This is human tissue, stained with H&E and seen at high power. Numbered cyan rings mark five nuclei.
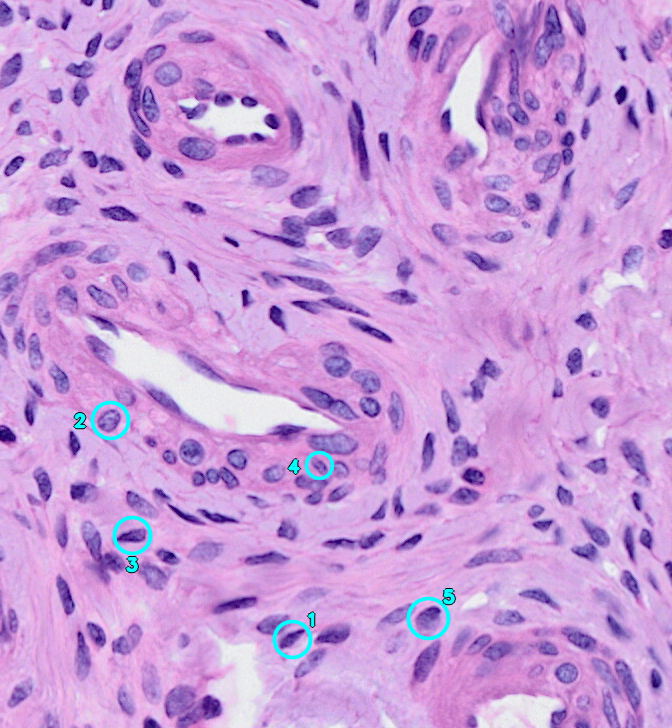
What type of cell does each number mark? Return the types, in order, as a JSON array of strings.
["fibroblast", "smooth muscle cell", "fibroblast", "smooth muscle cell", "fibroblast"]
